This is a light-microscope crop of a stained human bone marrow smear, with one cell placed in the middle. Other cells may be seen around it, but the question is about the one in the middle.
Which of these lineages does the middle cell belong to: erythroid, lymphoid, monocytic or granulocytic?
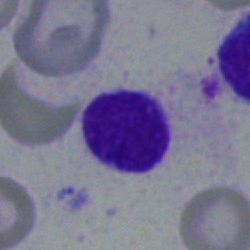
lymphoid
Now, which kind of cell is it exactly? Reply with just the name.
lymphocyte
